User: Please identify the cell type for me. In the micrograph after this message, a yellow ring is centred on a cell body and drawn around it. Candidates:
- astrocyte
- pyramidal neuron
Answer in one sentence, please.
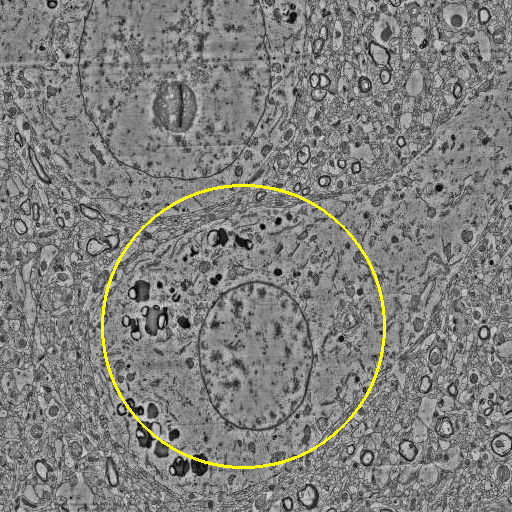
The ring is drawn around the cell body of a pyramidal neuron.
